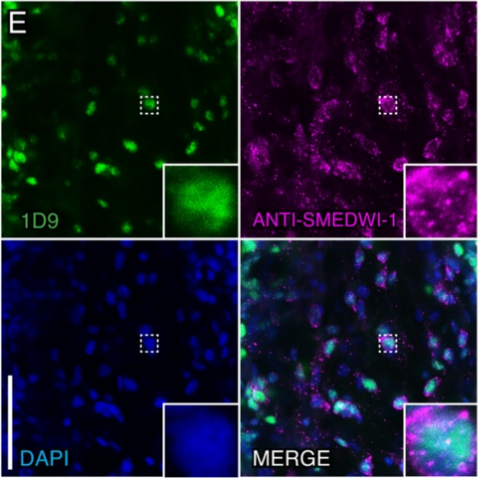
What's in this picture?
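This is a field of loosely scattered cells in the body of a flatworm, shown in three separate colour channels and a merged view. The blue channel shows many small round to oval nuclei spread without any layered order. The green channel marks compact patches that sit on a subset of these nuclei, so each green patch has about the size and shape of a nucleus. The magenta channel is granular and dotted, forming irregular rims and clusters around cells rather than filling the nuclei. In the enlarged inset one cell shows a green, blue-stained nucleus ringed by magenta granules, so the two labels lie in the same cell but in different compartments.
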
